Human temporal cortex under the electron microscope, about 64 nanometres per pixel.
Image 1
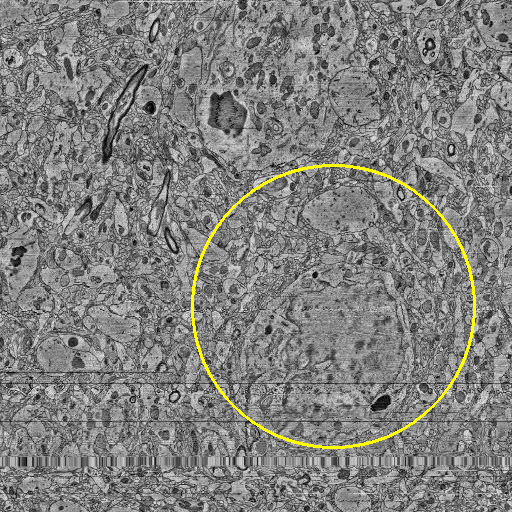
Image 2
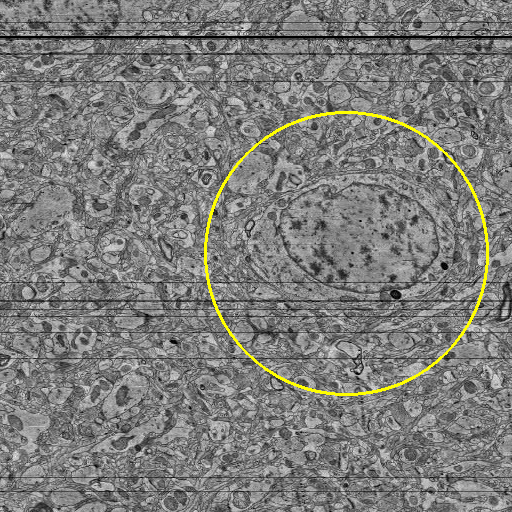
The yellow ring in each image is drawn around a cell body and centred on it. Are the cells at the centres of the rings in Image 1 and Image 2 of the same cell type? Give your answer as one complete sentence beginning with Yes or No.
No, the two cells are of two separate types.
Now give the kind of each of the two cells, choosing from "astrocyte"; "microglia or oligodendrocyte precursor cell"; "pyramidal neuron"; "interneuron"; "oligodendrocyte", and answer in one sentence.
The cell in the first picture is an interneuron, and the cell in the second is a pyramidal neuron.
